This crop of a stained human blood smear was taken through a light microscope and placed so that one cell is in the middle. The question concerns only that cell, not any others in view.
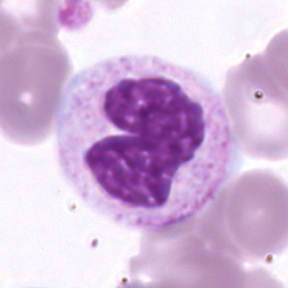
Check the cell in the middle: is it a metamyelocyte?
no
